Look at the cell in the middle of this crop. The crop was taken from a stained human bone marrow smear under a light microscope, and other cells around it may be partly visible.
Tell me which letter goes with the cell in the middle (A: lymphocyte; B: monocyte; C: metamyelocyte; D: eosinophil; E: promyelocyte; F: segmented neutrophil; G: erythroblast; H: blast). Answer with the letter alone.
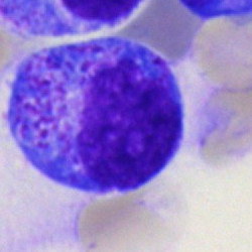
E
